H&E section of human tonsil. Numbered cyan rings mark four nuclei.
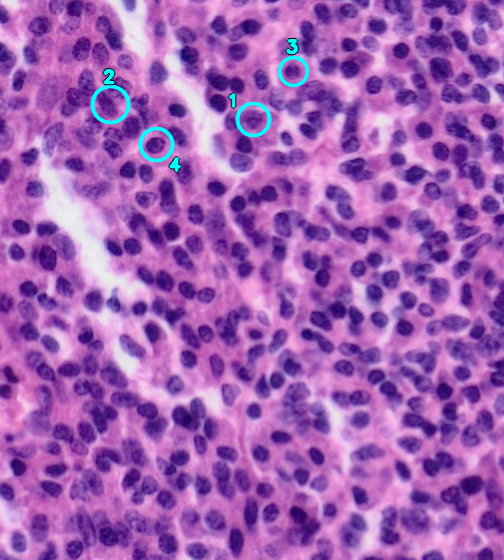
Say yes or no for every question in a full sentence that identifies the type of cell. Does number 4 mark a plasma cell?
Yes, correct, the cell with the number 4 is a plasma cell.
